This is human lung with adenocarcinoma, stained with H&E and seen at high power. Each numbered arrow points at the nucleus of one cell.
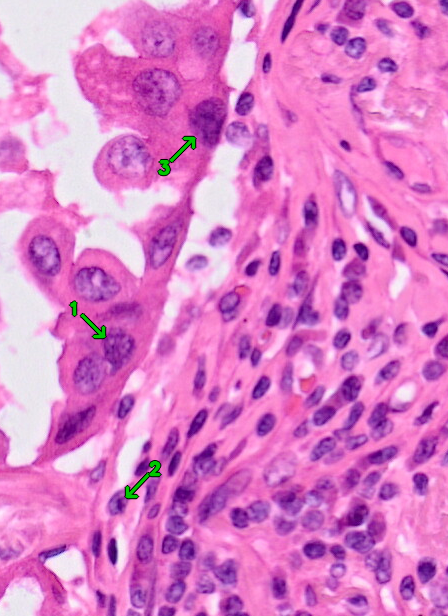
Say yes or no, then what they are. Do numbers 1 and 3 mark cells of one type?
Yes, both are carcinoma cells.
